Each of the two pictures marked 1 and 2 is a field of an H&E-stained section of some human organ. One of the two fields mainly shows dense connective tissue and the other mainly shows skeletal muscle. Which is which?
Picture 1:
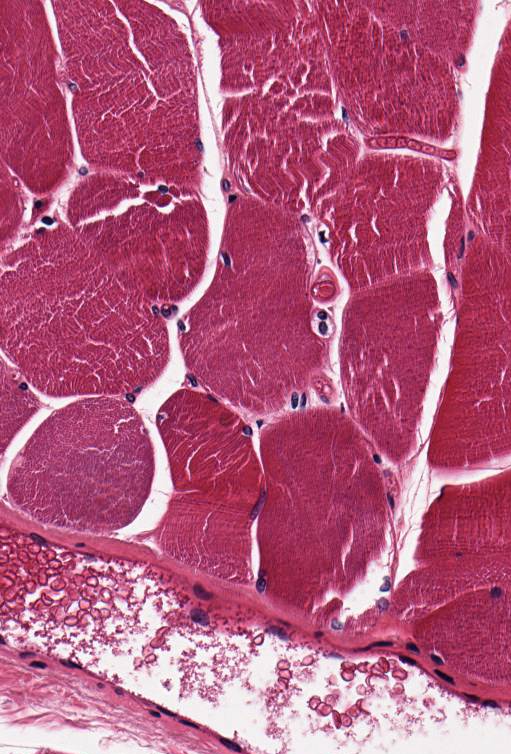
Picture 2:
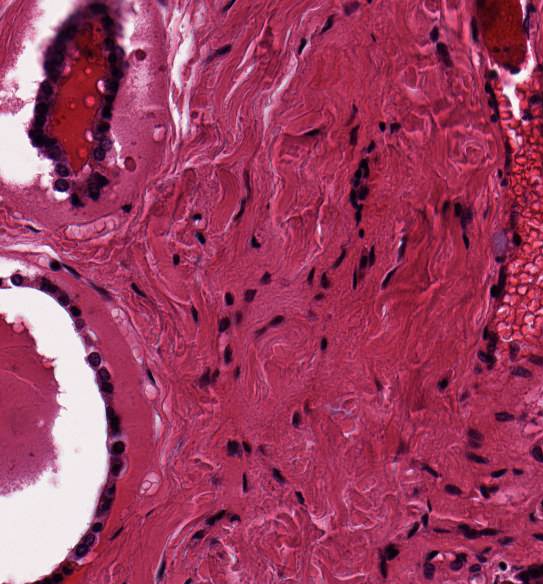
1: skeletal muscle
2: dense connective tissue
